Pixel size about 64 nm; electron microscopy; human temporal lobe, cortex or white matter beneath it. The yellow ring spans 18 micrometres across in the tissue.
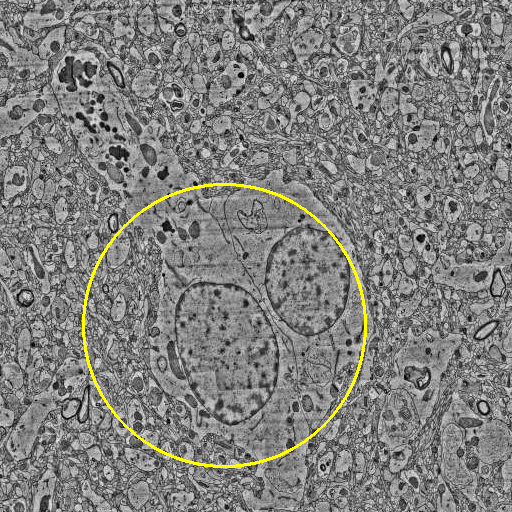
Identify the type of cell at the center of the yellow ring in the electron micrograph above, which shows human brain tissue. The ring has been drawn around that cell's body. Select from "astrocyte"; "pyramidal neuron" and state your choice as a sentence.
The yellow ring is centered on the body of an astrocyte.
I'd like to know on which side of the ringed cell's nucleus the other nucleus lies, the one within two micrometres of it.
That other nucleus is to the upper right of it.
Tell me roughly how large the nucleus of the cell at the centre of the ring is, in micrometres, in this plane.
The nucleus appears roughly 9 by 7 micrometres in this plane.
